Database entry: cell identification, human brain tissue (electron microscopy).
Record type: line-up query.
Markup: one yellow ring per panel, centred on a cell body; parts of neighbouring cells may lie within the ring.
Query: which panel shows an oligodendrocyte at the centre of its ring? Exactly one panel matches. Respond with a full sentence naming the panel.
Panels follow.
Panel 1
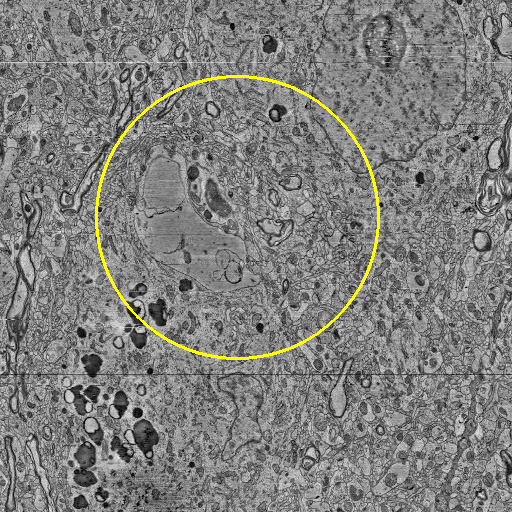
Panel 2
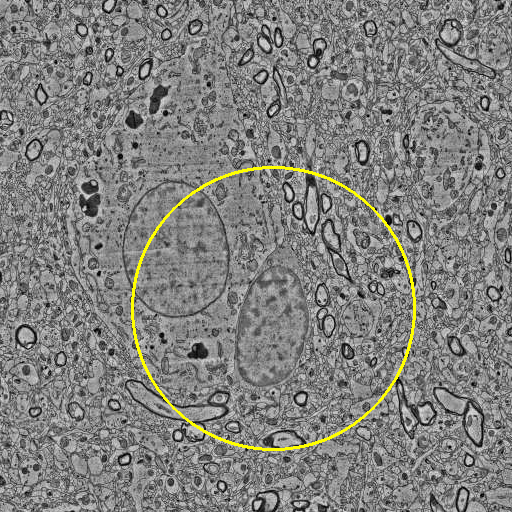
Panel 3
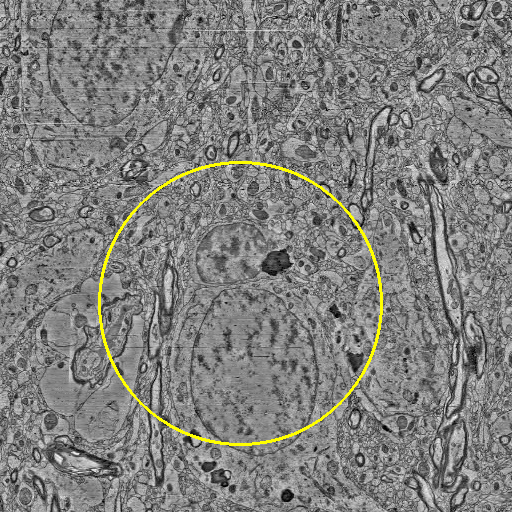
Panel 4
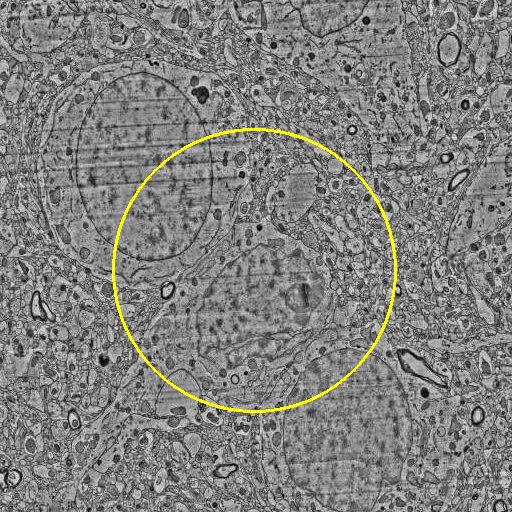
Panel 2 shows it at the centre of the ring.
